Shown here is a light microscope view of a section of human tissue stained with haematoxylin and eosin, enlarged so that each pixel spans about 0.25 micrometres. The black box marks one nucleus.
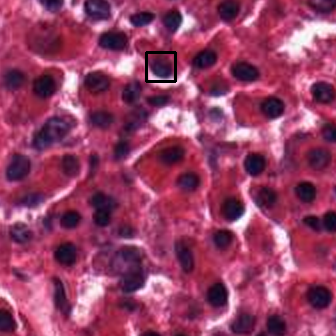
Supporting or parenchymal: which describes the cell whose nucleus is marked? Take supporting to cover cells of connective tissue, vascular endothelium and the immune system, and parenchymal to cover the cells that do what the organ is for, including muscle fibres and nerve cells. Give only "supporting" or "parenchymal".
parenchymal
